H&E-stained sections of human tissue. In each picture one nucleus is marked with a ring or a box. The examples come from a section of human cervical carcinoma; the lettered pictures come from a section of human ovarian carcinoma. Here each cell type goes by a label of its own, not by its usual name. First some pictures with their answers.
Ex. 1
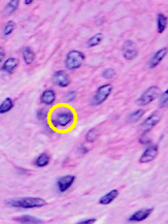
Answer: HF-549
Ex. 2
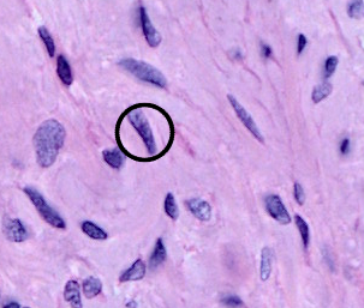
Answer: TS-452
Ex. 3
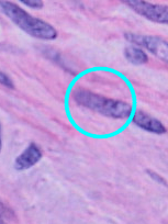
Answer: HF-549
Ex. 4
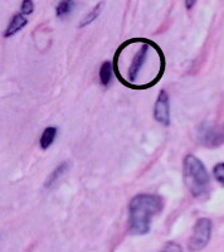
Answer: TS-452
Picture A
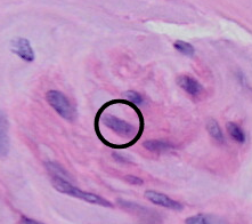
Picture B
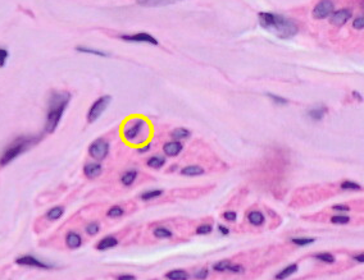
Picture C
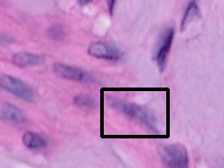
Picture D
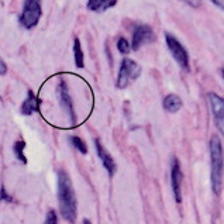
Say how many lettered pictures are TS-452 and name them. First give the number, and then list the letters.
1, namely D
